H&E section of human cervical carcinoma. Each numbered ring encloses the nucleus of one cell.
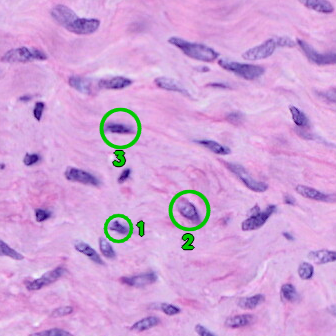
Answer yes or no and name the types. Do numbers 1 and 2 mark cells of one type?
No, cell 1 is a fibroblast and cell 2 is a smooth muscle cell.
